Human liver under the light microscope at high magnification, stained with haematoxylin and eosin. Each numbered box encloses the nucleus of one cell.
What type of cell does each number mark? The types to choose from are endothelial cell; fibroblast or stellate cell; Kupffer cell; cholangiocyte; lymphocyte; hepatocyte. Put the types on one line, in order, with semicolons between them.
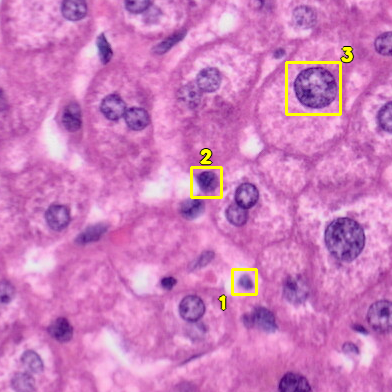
lymphocyte; fibroblast or stellate cell; hepatocyte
